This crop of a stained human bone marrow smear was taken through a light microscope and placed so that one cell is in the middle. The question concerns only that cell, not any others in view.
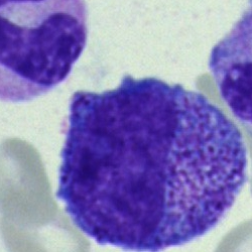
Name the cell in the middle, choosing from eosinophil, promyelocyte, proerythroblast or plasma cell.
promyelocyte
